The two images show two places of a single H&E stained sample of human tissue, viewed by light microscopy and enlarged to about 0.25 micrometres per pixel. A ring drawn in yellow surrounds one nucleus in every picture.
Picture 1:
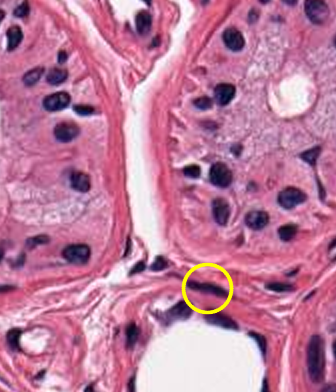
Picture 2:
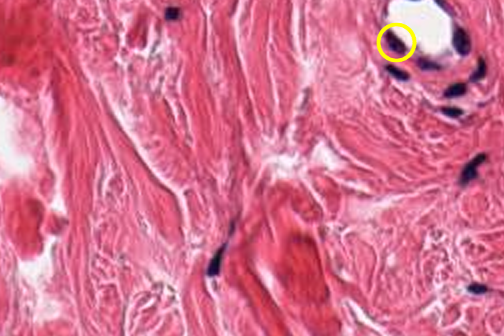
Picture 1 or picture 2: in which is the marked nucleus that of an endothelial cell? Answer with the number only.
2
